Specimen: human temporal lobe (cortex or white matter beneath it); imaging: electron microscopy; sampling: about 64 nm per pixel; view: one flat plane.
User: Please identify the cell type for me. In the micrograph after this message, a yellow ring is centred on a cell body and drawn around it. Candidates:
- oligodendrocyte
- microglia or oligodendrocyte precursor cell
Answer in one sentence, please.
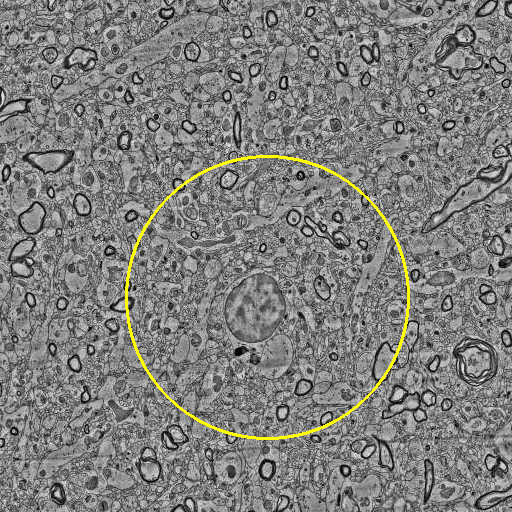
The ring is drawn around the cell body of a microglial cell or oligodendrocyte precursor cell.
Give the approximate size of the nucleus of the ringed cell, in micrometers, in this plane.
About 4 micrometres across in this plane.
